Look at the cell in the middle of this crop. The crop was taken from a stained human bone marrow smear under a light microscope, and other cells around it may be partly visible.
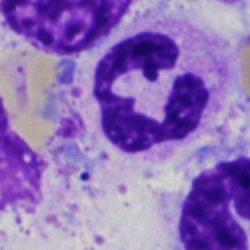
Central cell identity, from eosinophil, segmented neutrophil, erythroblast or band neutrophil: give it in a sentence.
This crop has a segmented neutrophil at its centre.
